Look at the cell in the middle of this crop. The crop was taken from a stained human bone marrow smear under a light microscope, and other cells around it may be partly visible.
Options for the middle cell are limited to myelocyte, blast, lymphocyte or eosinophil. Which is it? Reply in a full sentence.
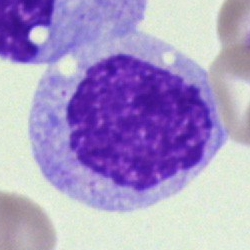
Answering briefly, the cell in the middle is a myelocyte.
